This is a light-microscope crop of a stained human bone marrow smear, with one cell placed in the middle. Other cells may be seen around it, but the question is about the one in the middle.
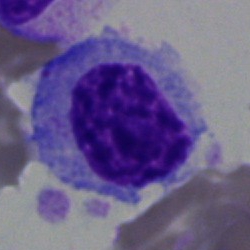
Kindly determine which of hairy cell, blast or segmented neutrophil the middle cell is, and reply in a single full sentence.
In this crop, the cell at the very middle is a hairy cell.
